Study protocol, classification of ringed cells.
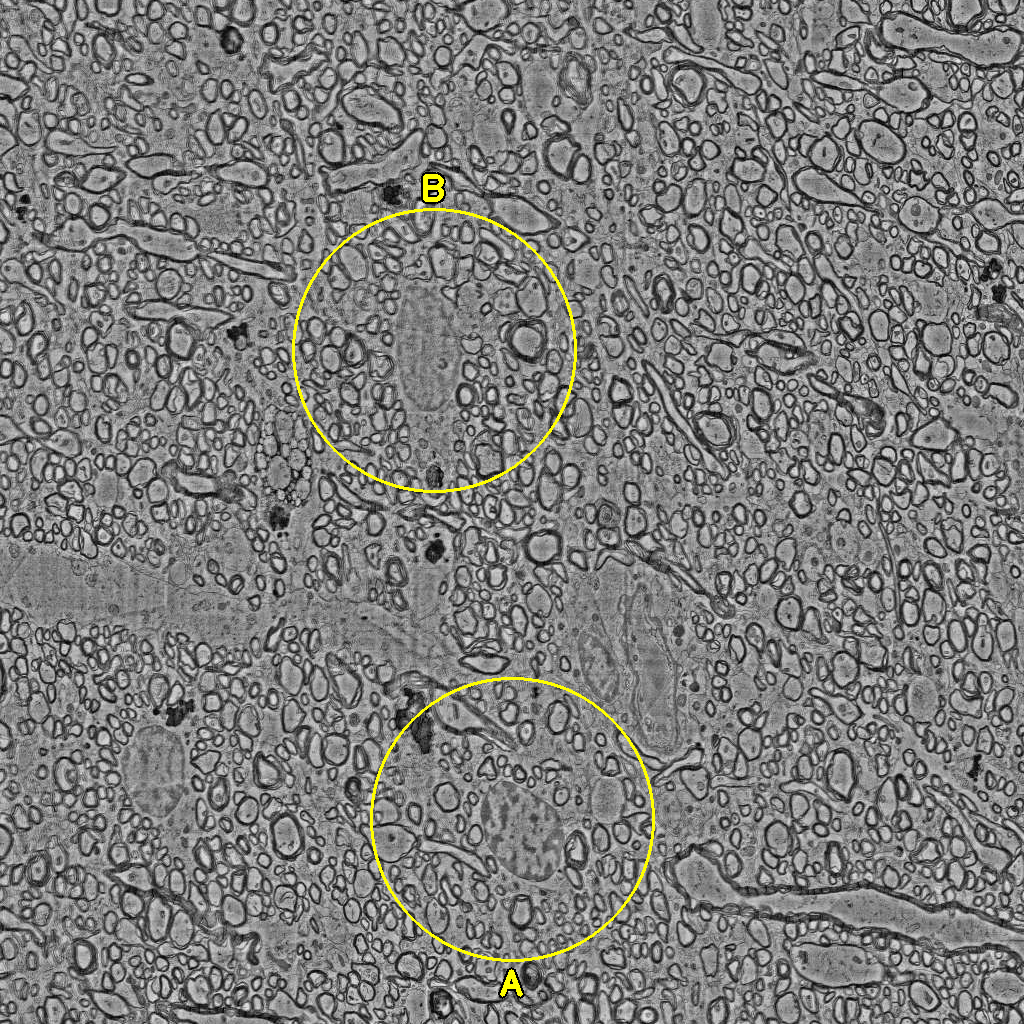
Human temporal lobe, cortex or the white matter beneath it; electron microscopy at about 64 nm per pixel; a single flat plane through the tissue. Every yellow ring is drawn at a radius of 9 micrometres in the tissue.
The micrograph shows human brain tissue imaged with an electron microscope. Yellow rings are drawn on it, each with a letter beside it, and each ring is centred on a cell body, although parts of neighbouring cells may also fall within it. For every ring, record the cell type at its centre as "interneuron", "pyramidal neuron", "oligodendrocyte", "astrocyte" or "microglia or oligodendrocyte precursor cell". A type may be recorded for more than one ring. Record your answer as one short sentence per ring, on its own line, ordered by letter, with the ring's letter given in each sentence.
Ring A has been centred on a microglial cell or oligodendrocyte precursor cell.
Ring B has been centred on an oligodendrocyte.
